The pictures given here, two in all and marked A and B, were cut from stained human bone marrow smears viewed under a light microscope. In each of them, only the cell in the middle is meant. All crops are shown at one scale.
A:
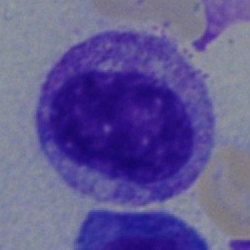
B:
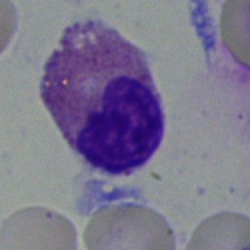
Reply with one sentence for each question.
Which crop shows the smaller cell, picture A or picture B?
Picture B holds the smaller cell, since the cell in picture A covers about 2 times as much area.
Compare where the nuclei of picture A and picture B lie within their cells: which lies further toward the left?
Seen within its cell, the nucleus in picture A lies further toward the left.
